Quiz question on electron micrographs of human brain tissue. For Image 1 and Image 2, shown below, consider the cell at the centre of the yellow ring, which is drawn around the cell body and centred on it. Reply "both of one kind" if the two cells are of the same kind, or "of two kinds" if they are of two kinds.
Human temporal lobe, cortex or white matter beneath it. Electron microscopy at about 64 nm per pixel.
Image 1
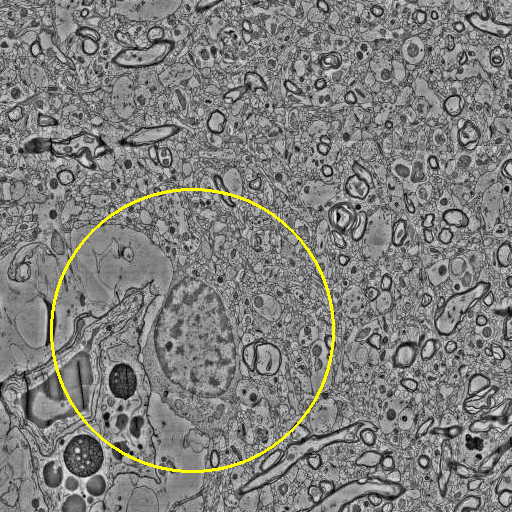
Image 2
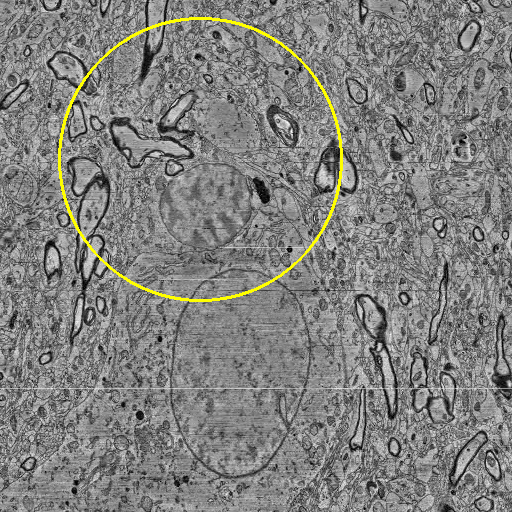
both of one kind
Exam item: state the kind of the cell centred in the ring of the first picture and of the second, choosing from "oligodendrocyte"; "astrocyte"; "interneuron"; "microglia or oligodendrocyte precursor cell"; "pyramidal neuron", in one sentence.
The second cell is an oligodendrocyte, just as the first is.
